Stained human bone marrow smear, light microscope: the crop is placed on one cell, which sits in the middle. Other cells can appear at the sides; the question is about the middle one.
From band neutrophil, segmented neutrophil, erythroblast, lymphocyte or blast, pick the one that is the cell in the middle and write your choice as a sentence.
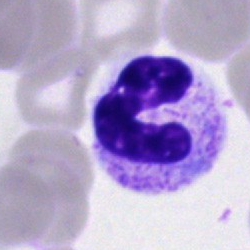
The cell centered in this field of view is a band neutrophil.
